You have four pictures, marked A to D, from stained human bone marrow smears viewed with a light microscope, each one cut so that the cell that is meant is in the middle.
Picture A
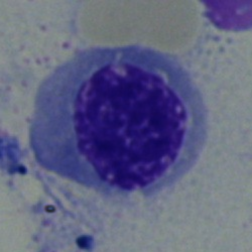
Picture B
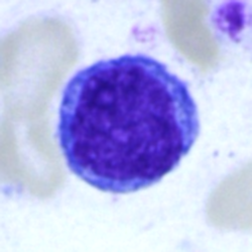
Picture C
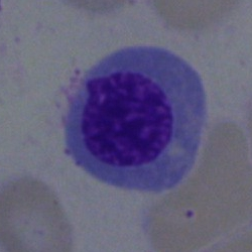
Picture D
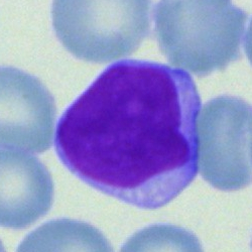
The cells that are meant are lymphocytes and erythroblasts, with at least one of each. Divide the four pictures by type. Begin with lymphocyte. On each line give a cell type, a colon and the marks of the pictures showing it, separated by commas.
lymphocyte: B, D
erythroblast: A, C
